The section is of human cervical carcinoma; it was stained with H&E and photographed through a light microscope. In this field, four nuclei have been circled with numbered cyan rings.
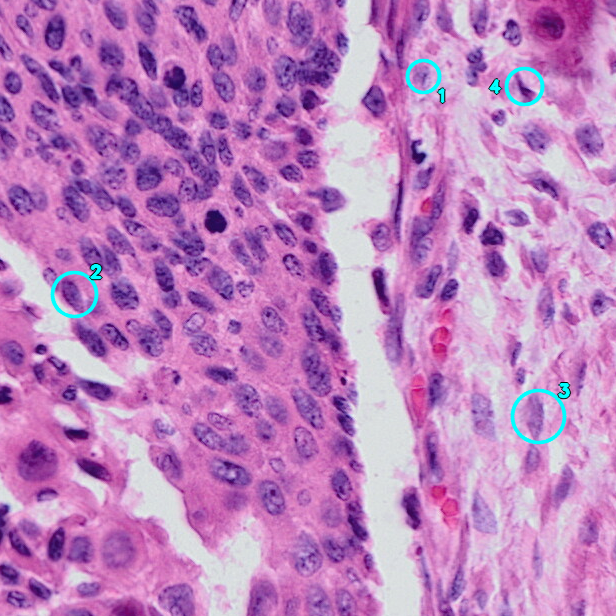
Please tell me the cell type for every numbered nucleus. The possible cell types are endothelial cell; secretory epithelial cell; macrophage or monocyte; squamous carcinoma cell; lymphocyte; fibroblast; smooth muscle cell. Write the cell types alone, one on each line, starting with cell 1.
fibroblast
squamous carcinoma cell
fibroblast
fibroblast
